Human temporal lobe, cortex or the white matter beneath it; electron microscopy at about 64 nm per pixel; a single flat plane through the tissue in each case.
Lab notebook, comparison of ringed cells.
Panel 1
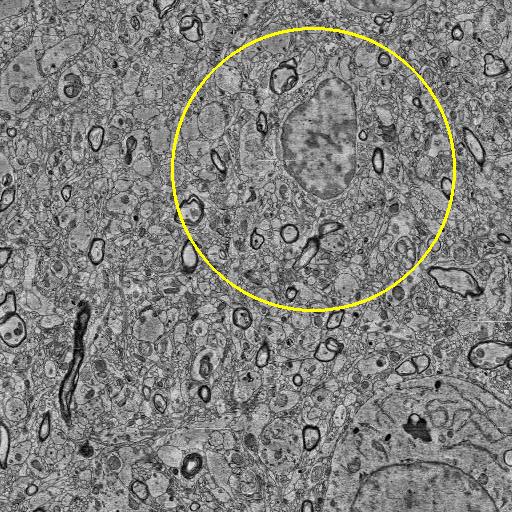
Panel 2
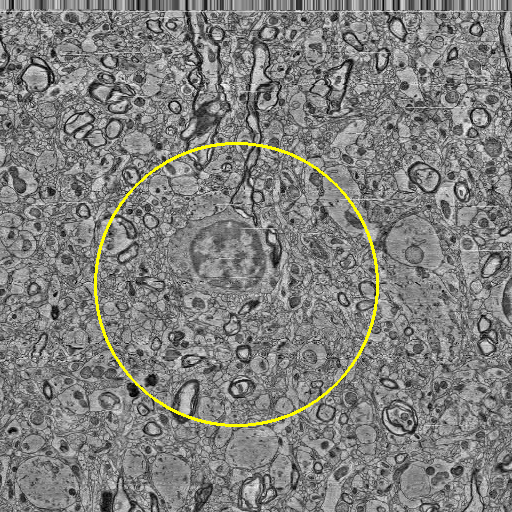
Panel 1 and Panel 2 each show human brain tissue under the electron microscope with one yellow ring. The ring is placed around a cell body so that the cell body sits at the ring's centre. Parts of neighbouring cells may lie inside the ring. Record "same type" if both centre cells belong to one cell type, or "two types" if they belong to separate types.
two types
